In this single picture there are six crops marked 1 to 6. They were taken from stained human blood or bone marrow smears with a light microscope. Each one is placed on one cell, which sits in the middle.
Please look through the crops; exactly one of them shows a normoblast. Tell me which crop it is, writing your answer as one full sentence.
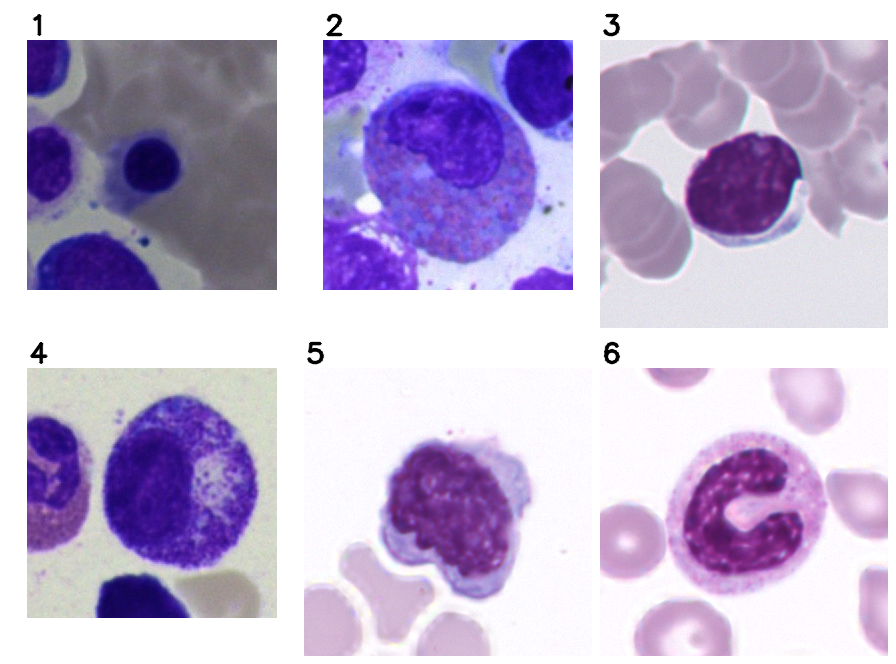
Of these crops, it is crop 1 that shows a normoblast.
